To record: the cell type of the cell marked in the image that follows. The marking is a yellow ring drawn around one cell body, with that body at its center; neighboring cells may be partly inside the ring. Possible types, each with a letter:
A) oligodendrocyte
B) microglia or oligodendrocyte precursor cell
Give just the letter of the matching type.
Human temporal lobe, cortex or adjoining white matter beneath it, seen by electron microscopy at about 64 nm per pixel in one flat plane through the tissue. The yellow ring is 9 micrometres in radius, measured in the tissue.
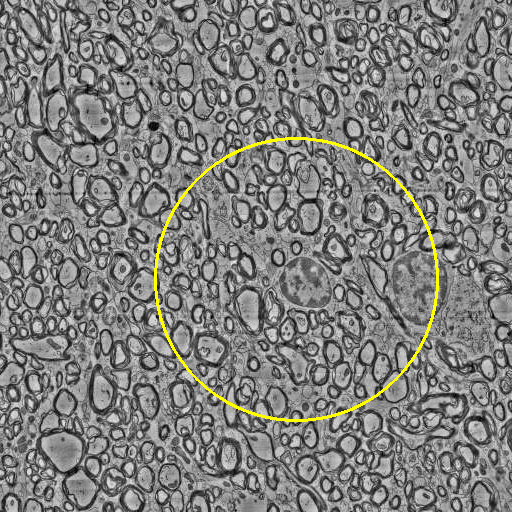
B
